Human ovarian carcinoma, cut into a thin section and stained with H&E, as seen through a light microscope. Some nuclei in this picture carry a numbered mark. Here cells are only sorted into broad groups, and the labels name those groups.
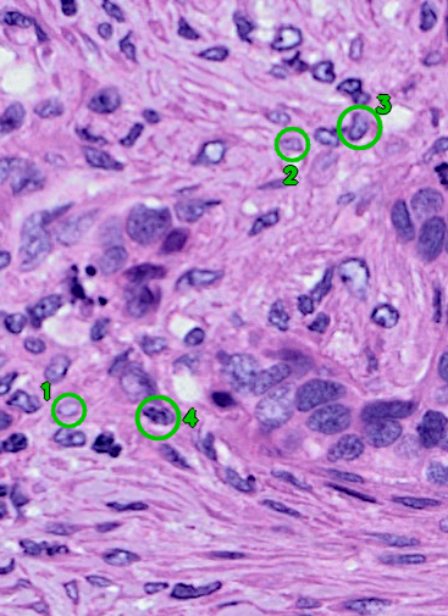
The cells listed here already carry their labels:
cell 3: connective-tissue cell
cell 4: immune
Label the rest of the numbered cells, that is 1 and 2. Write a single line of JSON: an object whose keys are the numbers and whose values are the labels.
{"1": "connective-tissue cell", "2": "connective-tissue cell"}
